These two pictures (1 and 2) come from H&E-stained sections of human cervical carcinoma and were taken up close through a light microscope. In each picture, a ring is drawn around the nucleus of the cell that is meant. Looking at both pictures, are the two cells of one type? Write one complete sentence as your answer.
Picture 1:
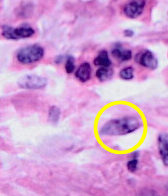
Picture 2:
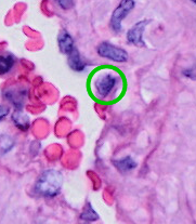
No, the types are not the same, since picture 1 shows a “macrophage or monocyte” and picture 2 an endothelial cell.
